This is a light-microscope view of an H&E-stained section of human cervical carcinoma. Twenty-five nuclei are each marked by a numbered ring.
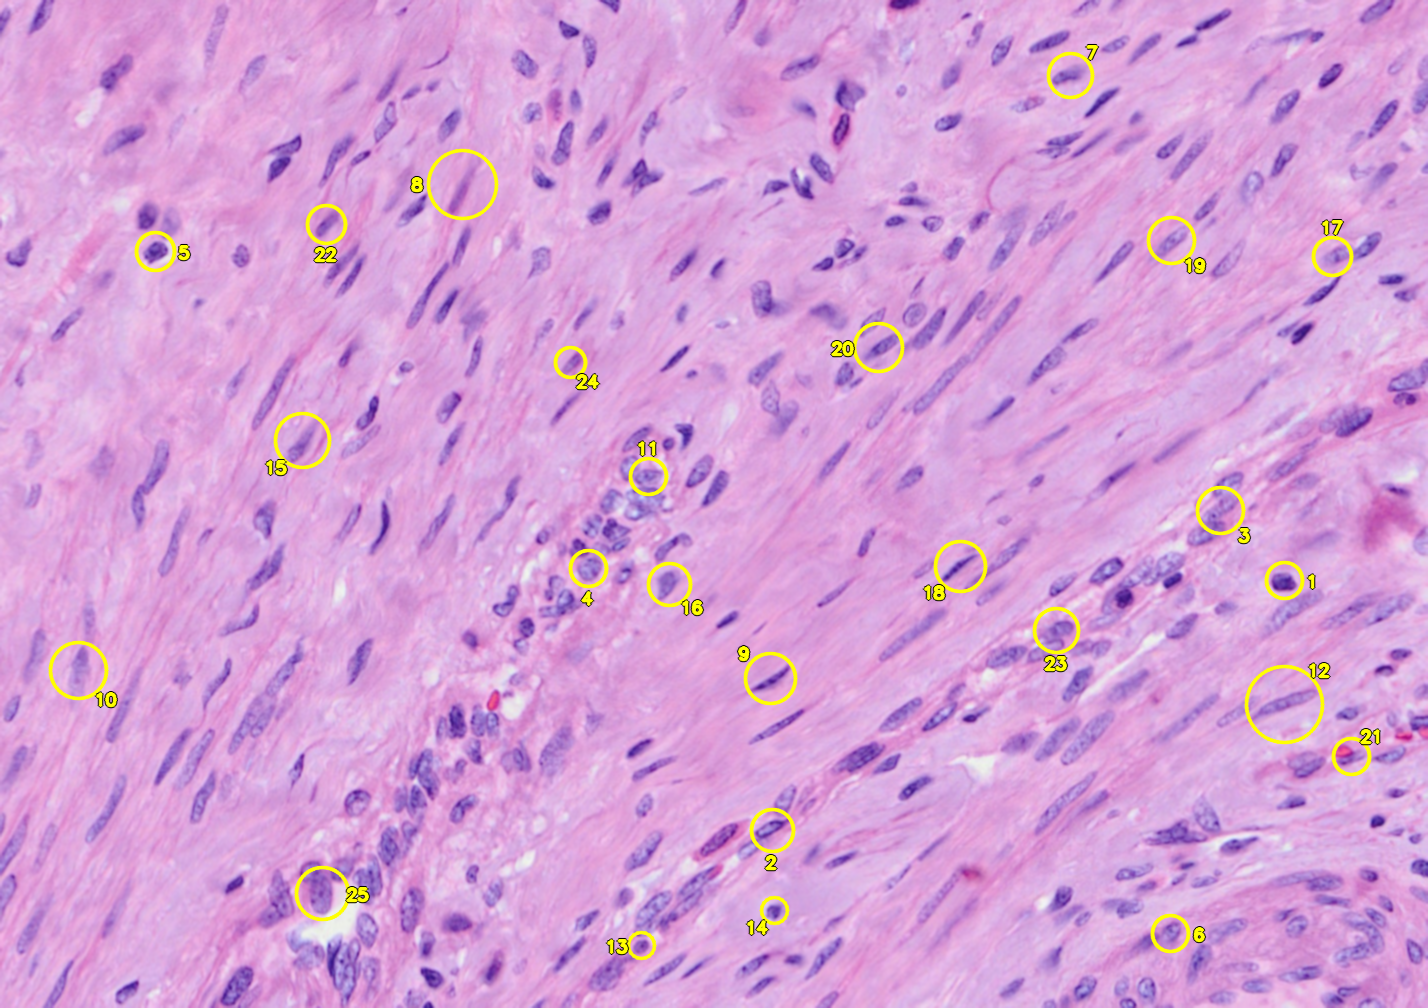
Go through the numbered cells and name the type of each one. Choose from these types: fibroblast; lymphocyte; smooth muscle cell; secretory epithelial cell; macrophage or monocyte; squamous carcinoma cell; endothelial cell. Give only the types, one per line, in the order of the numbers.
lymphocyte
endothelial cell
endothelial cell
endothelial cell
lymphocyte
smooth muscle cell
fibroblast
smooth muscle cell
fibroblast
smooth muscle cell
endothelial cell
smooth muscle cell
endothelial cell
fibroblast
smooth muscle cell
fibroblast
smooth muscle cell
fibroblast
smooth muscle cell
fibroblast
endothelial cell
smooth muscle cell
endothelial cell
smooth muscle cell
endothelial cell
